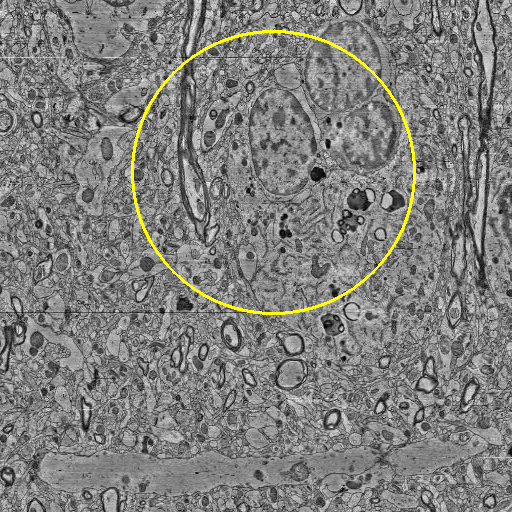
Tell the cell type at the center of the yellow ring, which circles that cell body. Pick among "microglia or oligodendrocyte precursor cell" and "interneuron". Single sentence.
The ring is centered on the body of a microglial cell or oligodendrocyte precursor cell.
